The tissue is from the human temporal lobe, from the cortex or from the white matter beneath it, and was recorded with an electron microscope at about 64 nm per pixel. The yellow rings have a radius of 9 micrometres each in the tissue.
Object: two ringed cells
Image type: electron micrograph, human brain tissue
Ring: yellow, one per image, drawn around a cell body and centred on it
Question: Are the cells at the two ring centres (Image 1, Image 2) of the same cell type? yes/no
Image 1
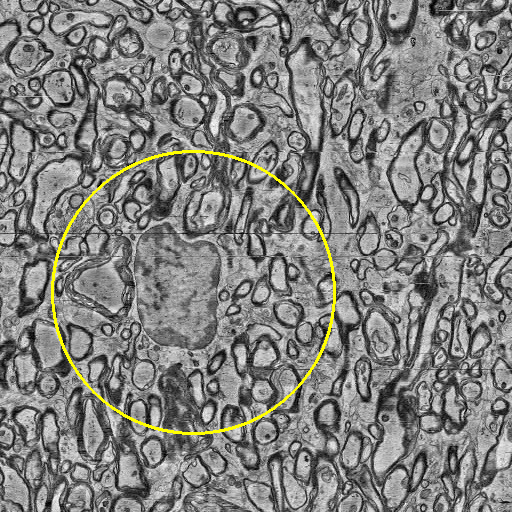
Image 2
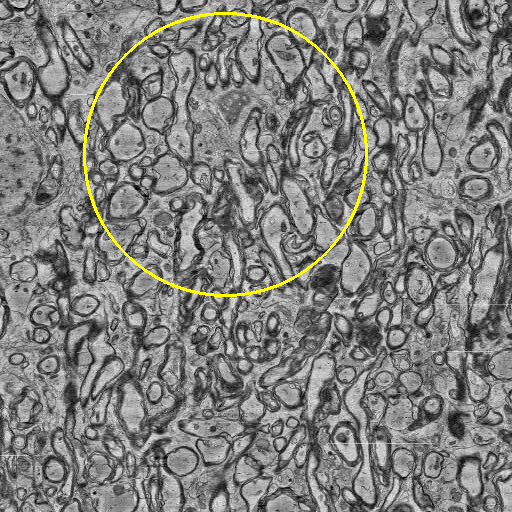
no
